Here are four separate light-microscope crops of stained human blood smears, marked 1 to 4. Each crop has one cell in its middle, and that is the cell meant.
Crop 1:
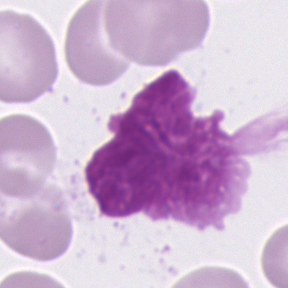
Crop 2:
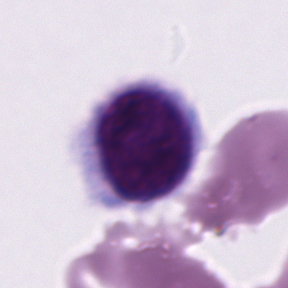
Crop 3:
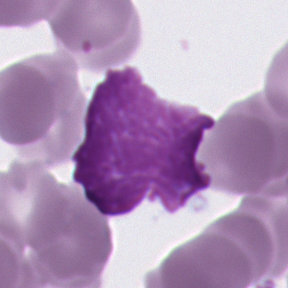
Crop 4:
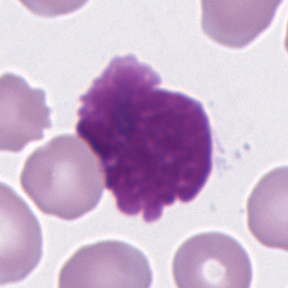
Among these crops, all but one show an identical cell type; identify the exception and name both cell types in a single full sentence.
The one crop not showing smudge cells is crop 2, which shows a hairy cell.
